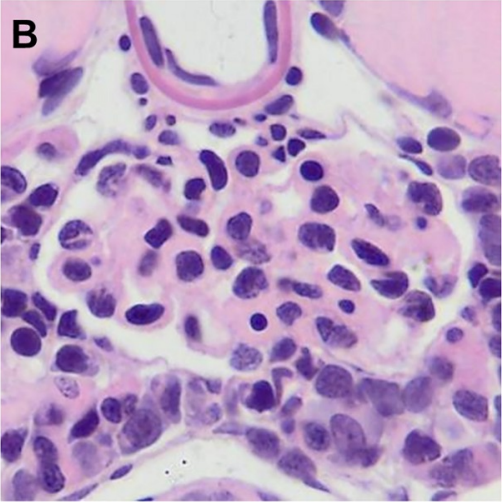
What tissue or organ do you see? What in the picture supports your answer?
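Glomeruli. A compact, rounded cluster of cells with pink-walled loops lies in the centre. The cluster is surrounded by a clear space lined by a thin pink layer. A round structure with a thick pink sheath lies directly above the cluster.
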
